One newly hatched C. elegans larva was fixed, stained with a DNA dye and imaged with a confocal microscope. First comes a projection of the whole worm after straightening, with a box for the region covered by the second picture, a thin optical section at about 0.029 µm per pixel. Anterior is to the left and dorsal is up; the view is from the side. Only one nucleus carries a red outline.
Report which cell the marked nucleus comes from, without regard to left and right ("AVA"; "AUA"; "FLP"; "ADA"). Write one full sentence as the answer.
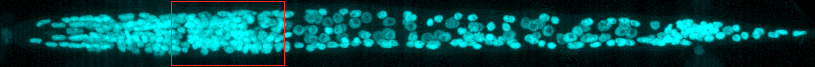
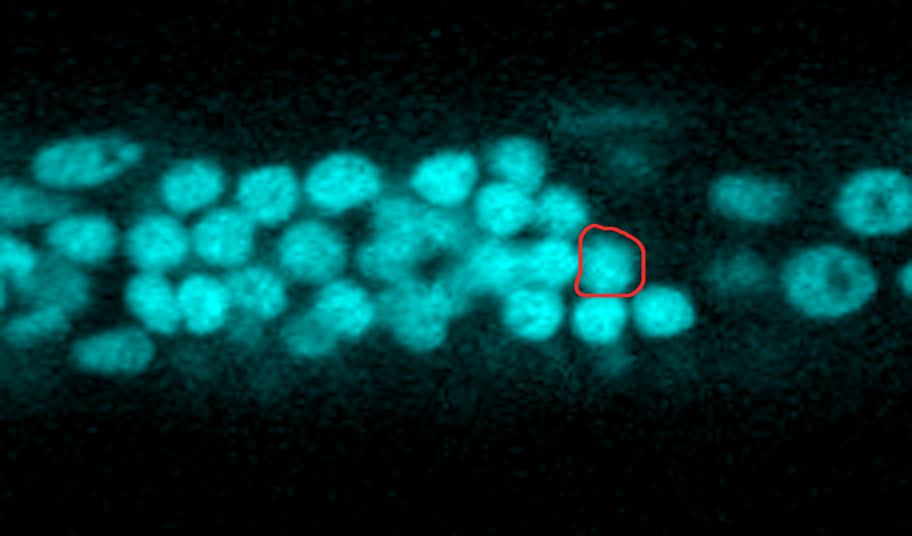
The marked nucleus is that of ADA, a neuron.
